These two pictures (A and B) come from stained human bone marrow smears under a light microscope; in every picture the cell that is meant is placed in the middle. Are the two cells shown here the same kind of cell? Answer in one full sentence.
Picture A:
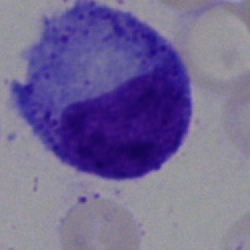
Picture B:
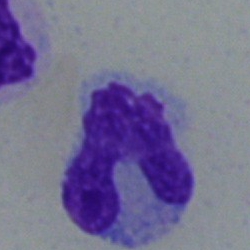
No; the cell in picture A is a myelocyte, while the one in picture B is a monocyte.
